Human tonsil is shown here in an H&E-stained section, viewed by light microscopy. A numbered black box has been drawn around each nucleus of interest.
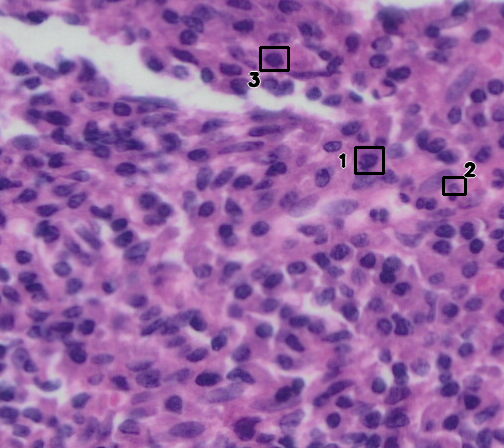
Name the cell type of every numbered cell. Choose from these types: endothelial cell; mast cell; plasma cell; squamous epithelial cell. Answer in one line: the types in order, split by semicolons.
plasma cell; endothelial cell; plasma cell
